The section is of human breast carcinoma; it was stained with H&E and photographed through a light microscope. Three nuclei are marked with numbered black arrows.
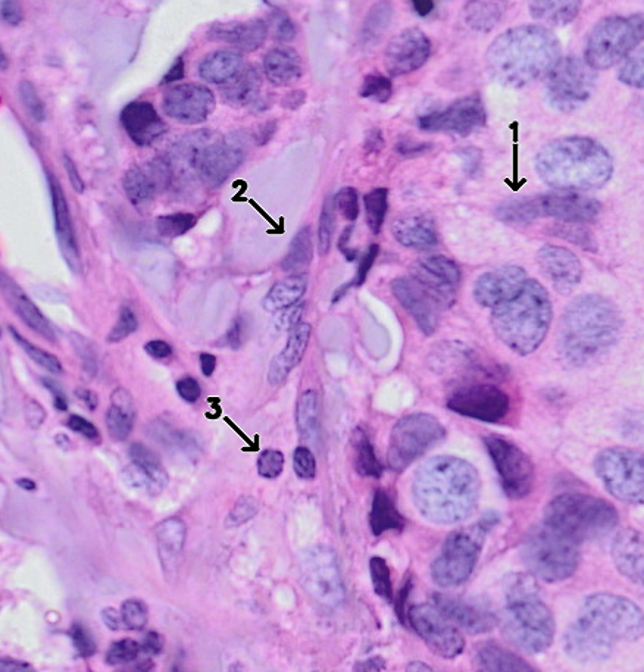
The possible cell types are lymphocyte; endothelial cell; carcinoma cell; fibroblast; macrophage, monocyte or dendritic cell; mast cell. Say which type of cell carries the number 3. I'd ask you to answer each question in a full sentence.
The nucleus labelled 3 belongs to a lymphocyte.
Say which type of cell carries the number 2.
The label 2 in this section denotes an endothelial cell.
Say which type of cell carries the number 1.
In the tissue shown, cell 1 is a carcinoma cell.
